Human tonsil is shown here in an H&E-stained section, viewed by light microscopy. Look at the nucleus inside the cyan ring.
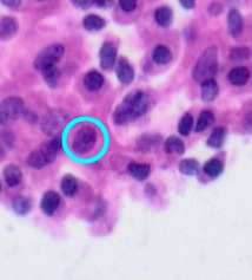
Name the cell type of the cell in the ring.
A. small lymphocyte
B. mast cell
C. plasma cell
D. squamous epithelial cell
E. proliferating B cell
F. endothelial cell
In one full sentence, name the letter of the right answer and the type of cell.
In this section the cell in the ring is a squamous epithelial cell; option D is therefore correct.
